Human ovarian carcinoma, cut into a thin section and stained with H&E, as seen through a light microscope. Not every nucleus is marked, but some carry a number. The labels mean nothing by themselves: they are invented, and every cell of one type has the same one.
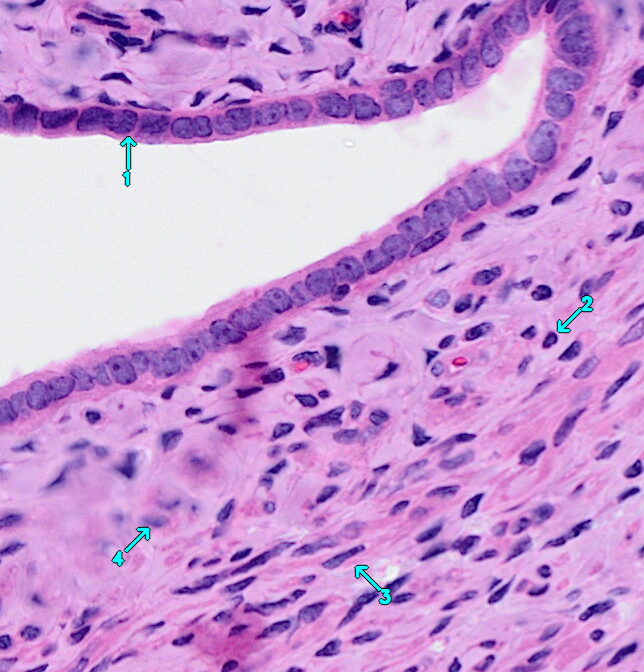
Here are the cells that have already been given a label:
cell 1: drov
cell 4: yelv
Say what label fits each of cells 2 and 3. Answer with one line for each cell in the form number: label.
2: yelv
3: yelv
